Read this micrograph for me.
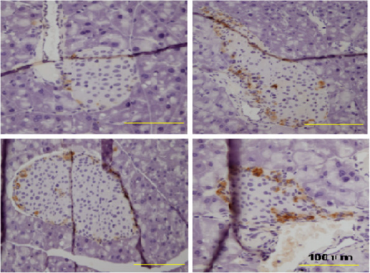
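Sections of pancreas show rounded islets of small, closely packed cells with blue nuclei among exocrine acinar tissue. The islet centres are pale. Brown stain lies mostly at the islet rims or in scattered cells at the edge.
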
